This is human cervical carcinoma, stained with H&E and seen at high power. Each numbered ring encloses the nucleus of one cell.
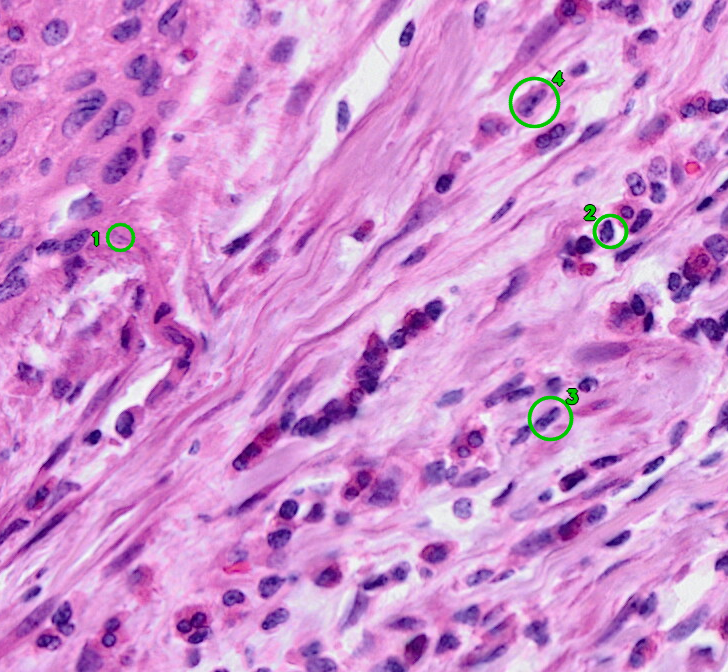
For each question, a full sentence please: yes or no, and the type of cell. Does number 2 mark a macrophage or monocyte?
No, sorry, the cell labelled 2 is not a macrophage or monocyte; it is a lymphocyte.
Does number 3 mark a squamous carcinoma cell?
No, cell number 3 is a lymphocyte; it is not a squamous carcinoma cell.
